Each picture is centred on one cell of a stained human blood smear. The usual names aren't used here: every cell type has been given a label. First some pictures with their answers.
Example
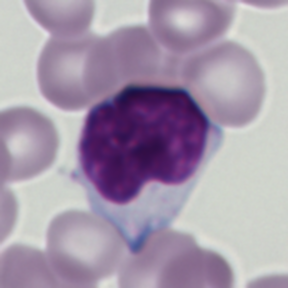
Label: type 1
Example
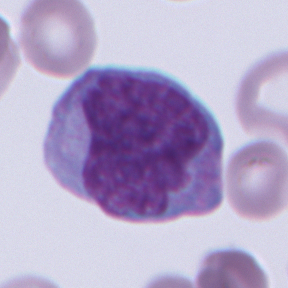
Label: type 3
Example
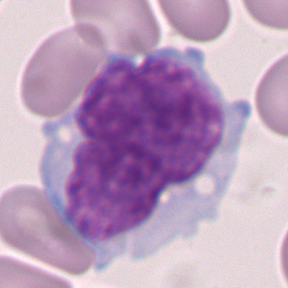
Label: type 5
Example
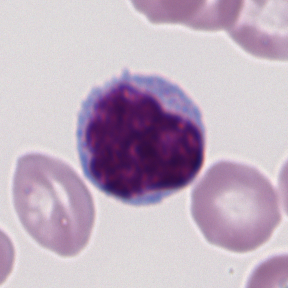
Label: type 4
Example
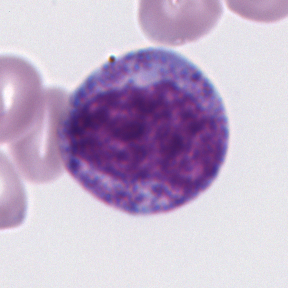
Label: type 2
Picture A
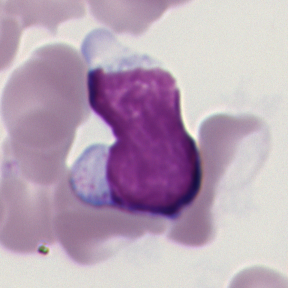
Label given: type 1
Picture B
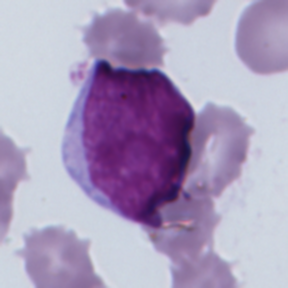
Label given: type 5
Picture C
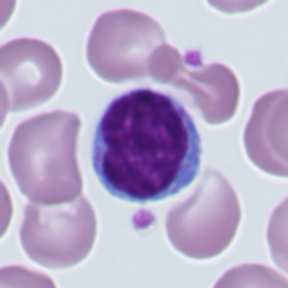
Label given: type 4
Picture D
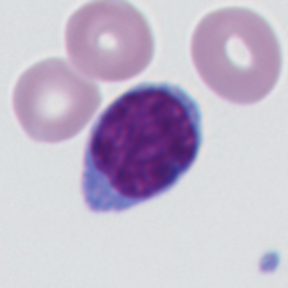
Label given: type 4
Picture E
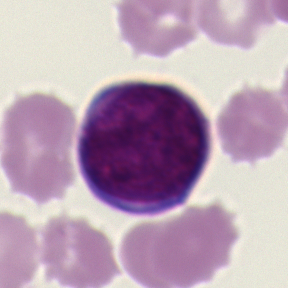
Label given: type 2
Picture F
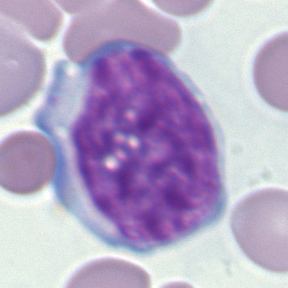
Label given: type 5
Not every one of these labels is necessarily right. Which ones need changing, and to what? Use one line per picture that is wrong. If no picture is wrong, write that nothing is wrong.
E should be type 5, not type 2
